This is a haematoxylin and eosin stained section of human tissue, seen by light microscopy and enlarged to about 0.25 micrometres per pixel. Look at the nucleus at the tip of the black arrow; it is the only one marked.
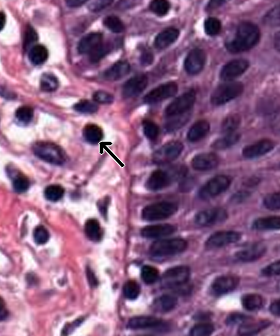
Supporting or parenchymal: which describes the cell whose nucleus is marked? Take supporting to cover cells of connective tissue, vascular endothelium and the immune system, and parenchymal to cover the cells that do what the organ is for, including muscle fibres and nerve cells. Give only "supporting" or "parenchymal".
supporting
